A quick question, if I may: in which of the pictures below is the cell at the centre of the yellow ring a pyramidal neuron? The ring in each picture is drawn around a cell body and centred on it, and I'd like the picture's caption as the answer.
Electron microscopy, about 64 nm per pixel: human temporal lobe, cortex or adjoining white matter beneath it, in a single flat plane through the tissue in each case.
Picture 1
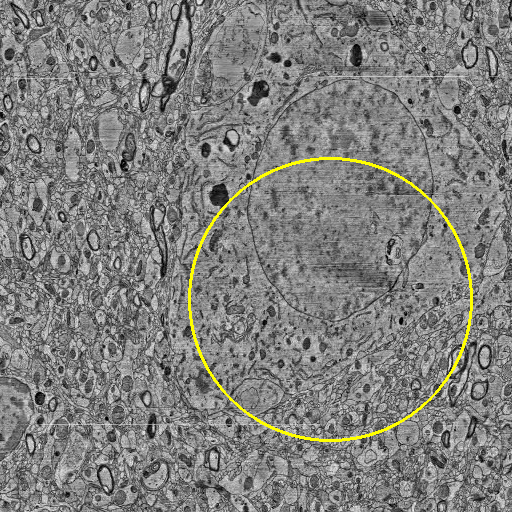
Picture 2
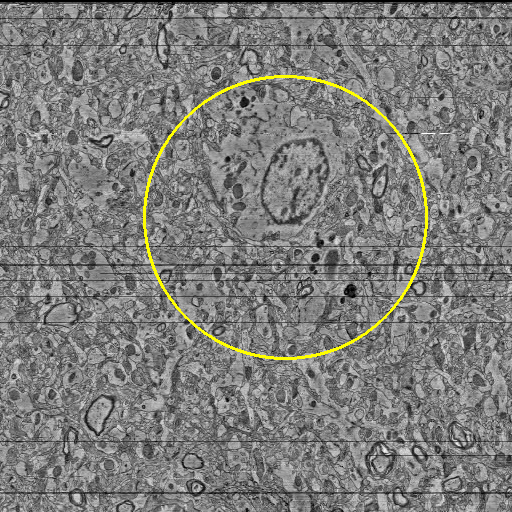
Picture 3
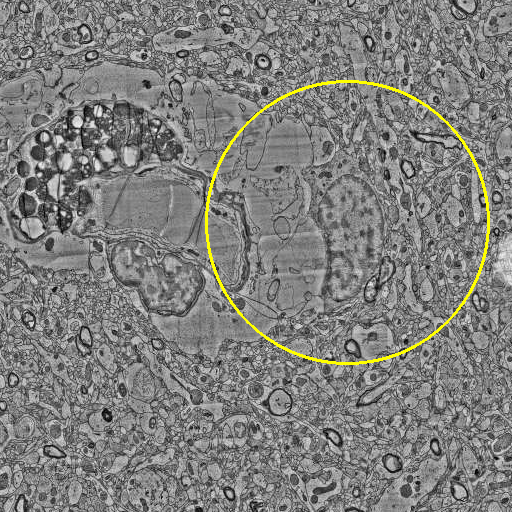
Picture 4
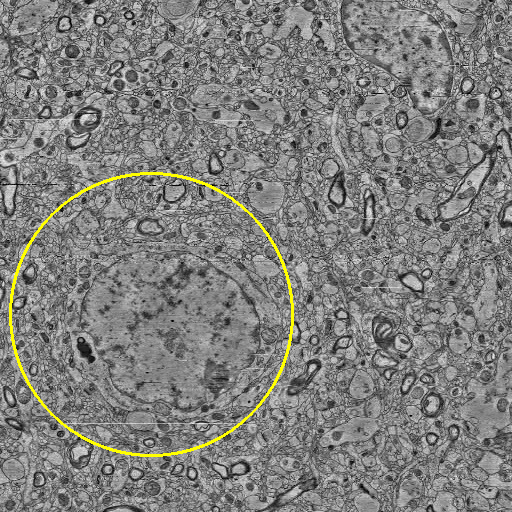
Picture 1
